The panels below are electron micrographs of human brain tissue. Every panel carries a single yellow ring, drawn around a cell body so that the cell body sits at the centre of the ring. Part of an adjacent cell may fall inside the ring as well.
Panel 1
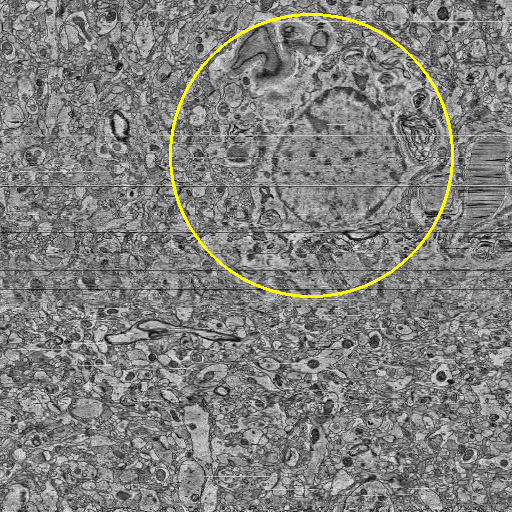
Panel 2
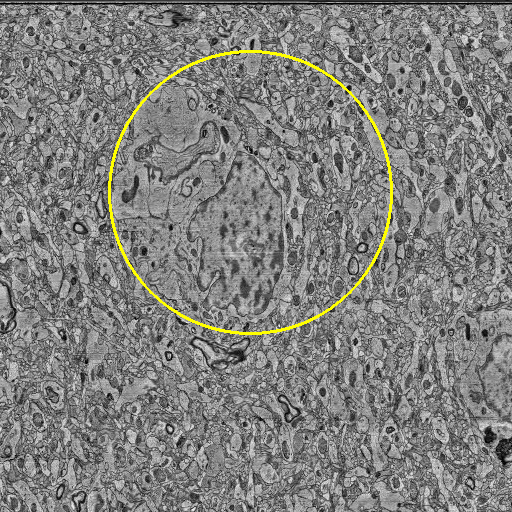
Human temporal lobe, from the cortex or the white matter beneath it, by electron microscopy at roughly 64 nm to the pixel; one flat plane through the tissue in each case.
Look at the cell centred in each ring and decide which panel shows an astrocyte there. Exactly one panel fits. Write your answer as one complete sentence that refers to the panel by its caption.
Panel 1 has it at the centre of its ring.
